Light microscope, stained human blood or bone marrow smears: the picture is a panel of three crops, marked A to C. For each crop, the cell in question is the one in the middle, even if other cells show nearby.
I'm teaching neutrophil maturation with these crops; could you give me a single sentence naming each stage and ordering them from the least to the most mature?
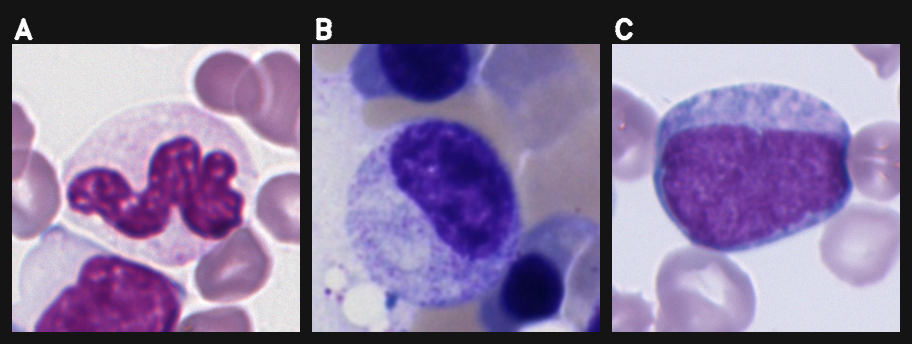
The crops, ordered from least to most mature, are crop C (a promyelocyte), crop B (a myelocyte) and crop A (a segmented neutrophil).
